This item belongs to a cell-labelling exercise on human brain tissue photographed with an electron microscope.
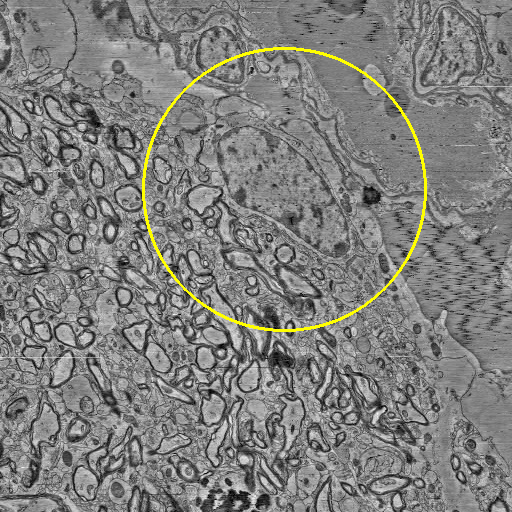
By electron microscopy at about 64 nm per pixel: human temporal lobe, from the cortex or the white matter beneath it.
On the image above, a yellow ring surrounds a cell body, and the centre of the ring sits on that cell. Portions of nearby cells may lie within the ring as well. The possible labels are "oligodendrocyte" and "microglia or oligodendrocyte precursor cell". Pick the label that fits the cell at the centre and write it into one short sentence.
This cell should be labelled as a microglial cell or oligodendrocyte precursor cell.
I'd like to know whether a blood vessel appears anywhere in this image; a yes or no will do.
Yes.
